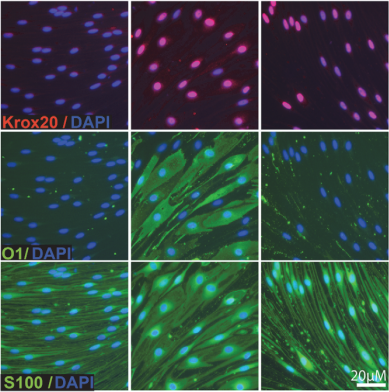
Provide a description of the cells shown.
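In the top row, red staining lies within the nuclei in the middle and right columns, whereas the nuclei of the left column are blue only. In the middle row, a green cytoplasmic label is strong and widespread in the middle column, where the cells are broad and flattened, and is faint or absent in the left and right columns. In the bottom row, green cytoplasm fills the cells in all three columns; in the left column the cells are thin and spindle-shaped and lie in parallel streams. In the middle column the cells are wide and flattened, with much cytoplasm around each nucleus, whereas in the right column the cells are again slender and elongated.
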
